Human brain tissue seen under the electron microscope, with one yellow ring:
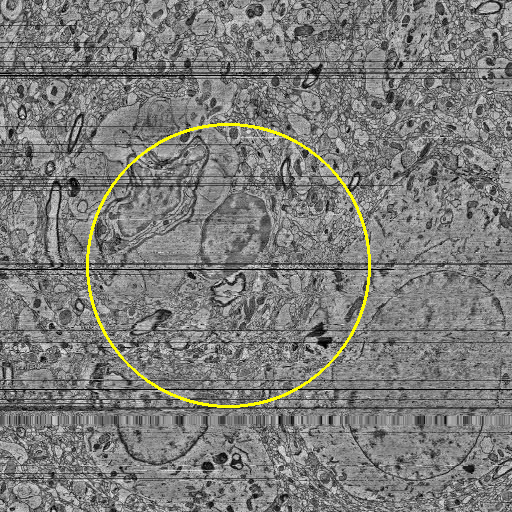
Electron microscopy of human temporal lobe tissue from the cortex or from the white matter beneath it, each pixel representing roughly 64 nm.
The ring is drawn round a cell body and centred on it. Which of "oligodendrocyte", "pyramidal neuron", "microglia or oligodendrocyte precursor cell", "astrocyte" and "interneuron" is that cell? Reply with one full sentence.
The picture shows a microglial cell or oligodendrocyte precursor cell at the very centre of the yellow ring.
